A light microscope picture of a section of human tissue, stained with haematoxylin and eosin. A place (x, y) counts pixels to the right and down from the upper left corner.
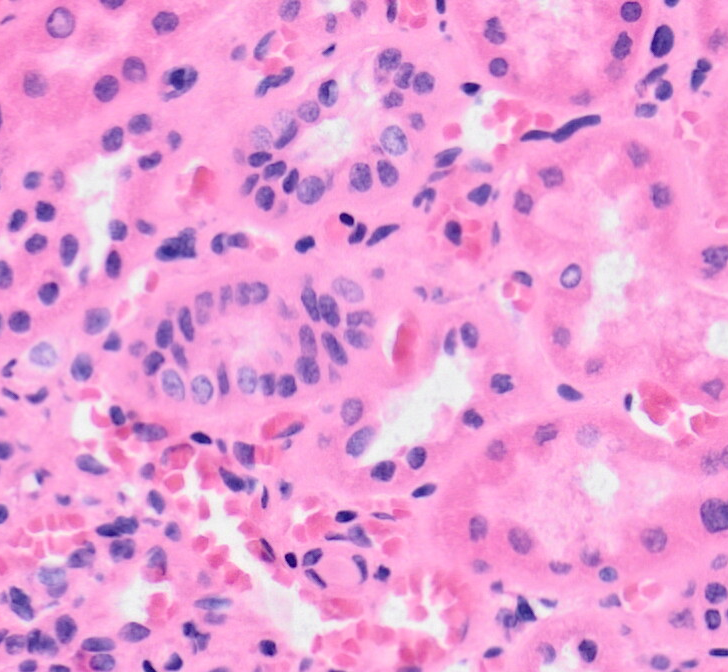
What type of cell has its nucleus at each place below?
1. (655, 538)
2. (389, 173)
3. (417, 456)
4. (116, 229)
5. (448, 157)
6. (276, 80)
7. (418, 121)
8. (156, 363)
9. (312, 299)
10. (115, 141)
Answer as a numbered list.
1. proximal tubule cell
2. collecting duct cell
3. loop of Henle or distal tubule cell
4. loop of Henle or distal tubule cell
5. endothelial cell
6. endothelial cell
7. collecting duct cell
8. collecting duct cell
9. collecting duct cell
10. loop of Henle or distal tubule cell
